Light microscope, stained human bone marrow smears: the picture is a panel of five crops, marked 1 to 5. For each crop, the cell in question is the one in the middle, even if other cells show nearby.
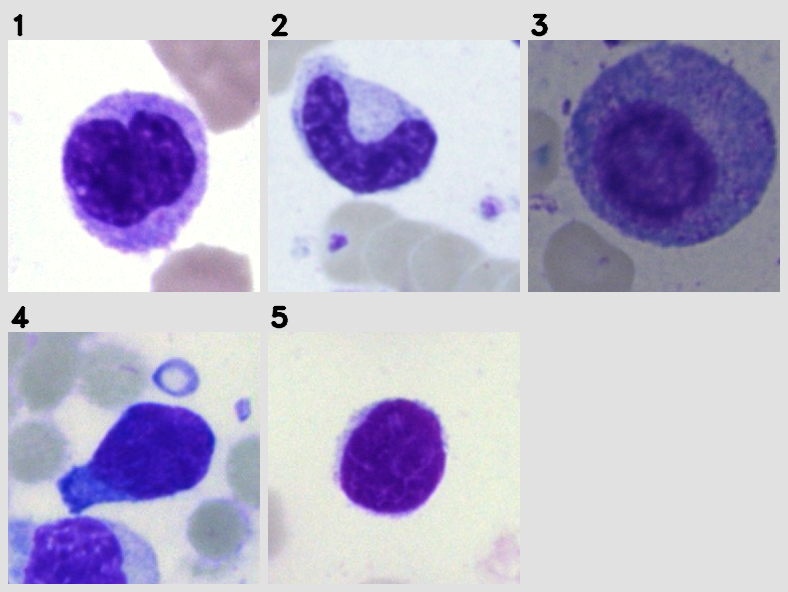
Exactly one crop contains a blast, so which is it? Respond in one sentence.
The sole crop showing a blast is crop 4.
